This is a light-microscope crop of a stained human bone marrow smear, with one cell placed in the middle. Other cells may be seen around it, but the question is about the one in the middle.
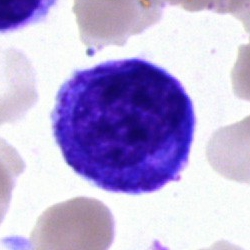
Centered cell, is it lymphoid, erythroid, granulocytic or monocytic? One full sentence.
Belonging to the granulocytic lineage is the cell positioned in the middle.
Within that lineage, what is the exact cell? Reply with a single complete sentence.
At the center of the crop sits a promyelocyte.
